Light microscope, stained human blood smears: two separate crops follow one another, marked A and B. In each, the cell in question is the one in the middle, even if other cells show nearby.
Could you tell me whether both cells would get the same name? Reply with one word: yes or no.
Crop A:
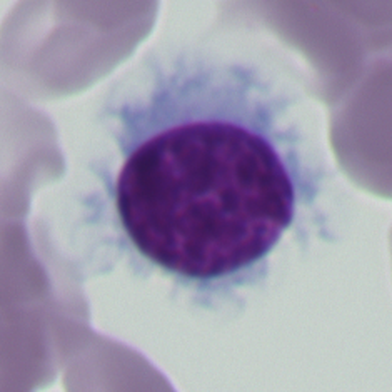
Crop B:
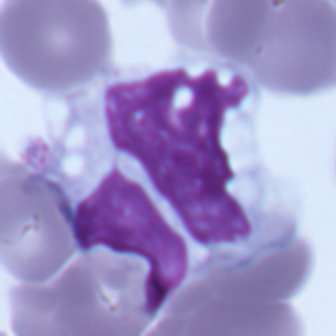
no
